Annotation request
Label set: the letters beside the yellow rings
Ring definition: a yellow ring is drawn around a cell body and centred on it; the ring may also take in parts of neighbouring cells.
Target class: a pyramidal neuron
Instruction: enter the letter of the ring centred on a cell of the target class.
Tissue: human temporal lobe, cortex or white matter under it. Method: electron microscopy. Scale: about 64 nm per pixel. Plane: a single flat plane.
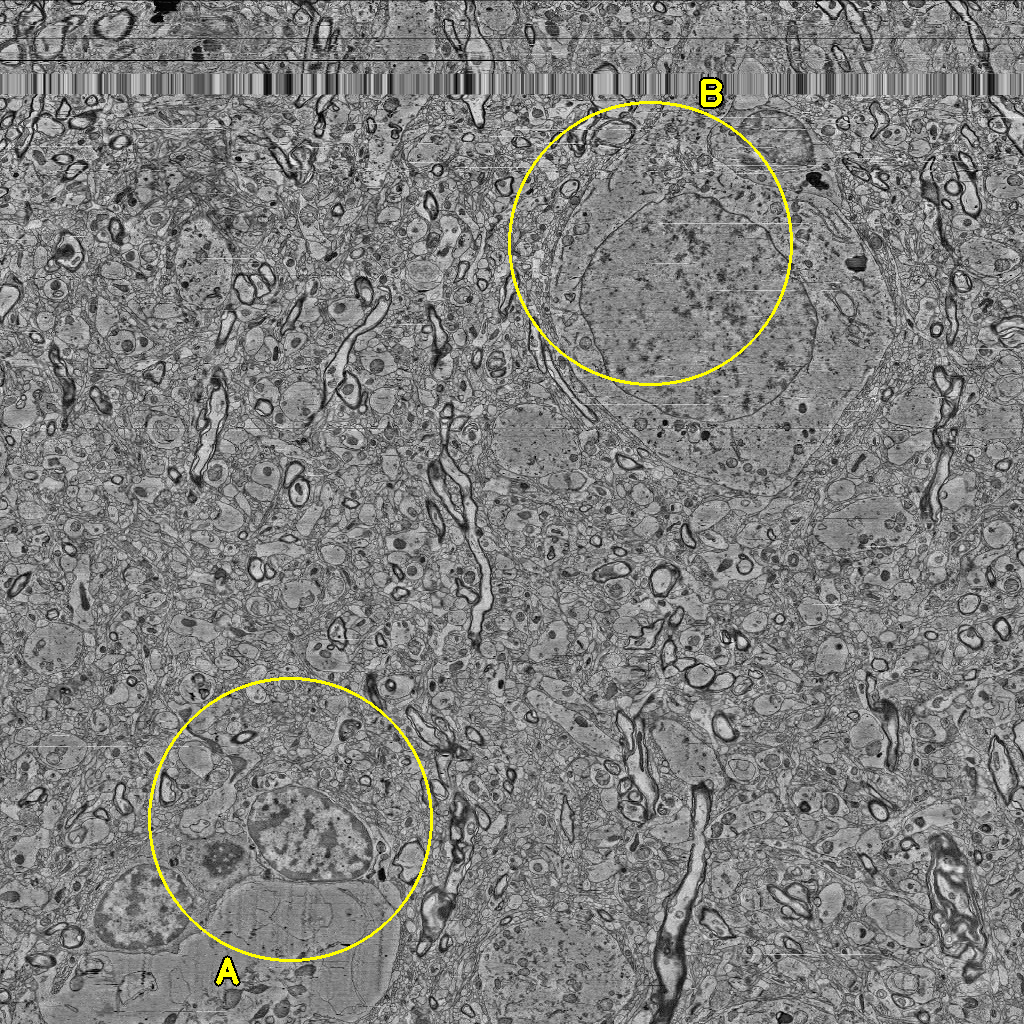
B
